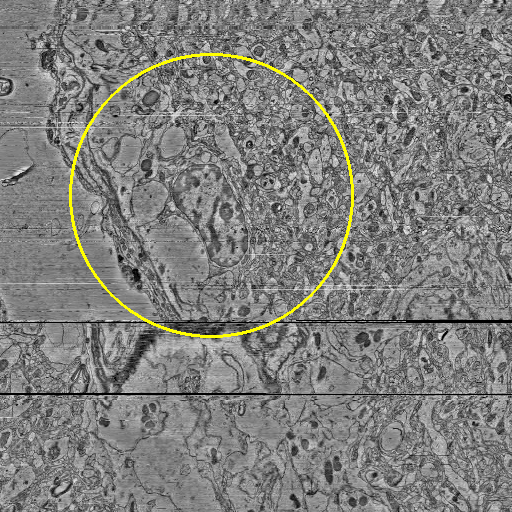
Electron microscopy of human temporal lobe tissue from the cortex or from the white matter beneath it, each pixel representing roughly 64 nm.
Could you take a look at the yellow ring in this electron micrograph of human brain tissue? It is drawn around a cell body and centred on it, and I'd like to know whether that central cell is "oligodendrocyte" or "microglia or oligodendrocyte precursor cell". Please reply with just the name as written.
microglia or oligodendrocyte precursor cell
